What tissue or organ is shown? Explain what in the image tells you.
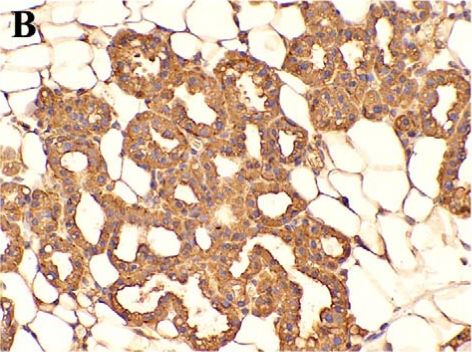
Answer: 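Mammary gland. Clusters of small epithelial ducts and alveoli with open lumina. The epithelial clusters lie embedded in large empty-looking fat cells.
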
